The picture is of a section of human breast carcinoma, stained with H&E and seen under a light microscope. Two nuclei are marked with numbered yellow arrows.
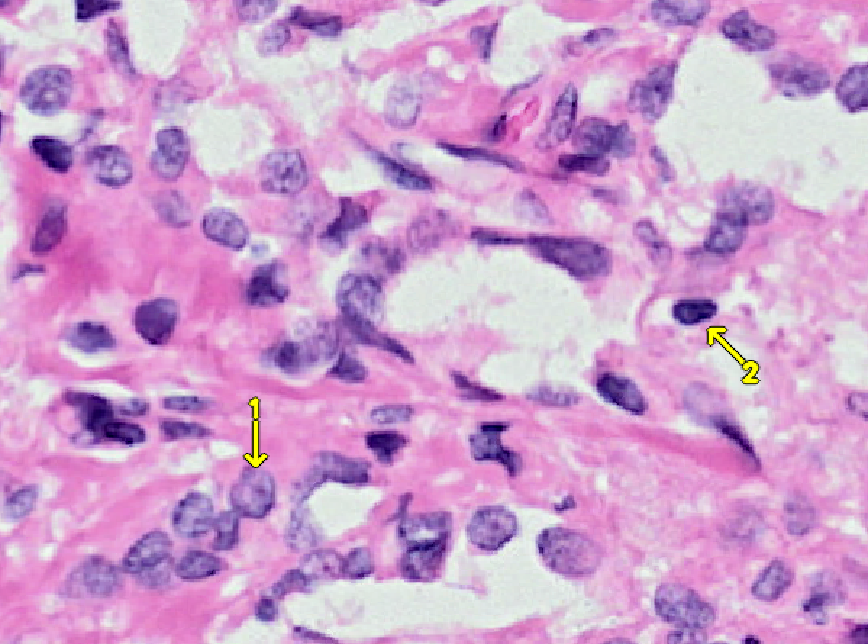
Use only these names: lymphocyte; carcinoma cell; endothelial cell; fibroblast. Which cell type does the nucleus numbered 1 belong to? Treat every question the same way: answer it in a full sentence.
Regarding cell 1, this one is a carcinoma cell.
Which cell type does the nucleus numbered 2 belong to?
The label 2 in this section denotes a lymphocyte.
